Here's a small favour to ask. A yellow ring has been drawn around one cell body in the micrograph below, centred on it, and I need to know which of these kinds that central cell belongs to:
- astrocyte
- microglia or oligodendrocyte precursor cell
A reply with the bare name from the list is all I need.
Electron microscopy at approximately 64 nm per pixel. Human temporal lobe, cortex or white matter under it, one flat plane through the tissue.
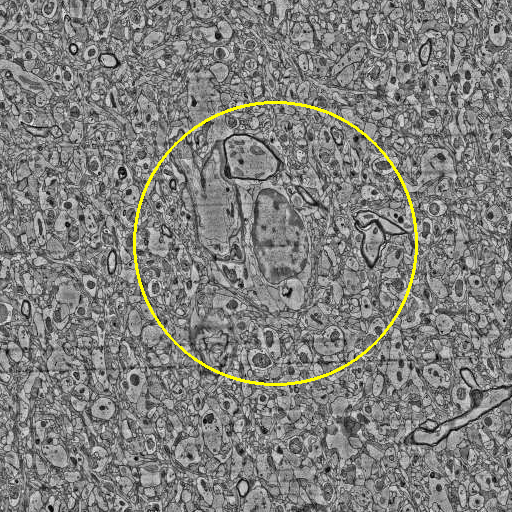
microglia or oligodendrocyte precursor cell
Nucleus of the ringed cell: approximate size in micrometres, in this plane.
In this plane, roughly 6 by 4 micrometres.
